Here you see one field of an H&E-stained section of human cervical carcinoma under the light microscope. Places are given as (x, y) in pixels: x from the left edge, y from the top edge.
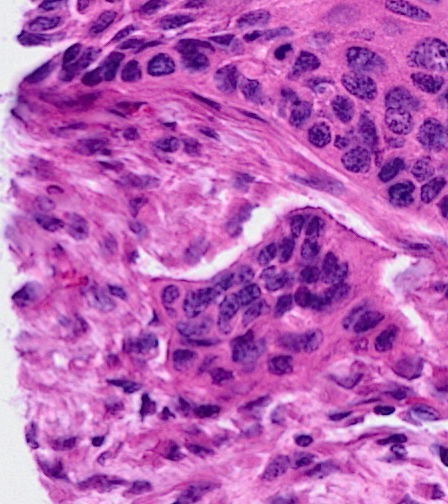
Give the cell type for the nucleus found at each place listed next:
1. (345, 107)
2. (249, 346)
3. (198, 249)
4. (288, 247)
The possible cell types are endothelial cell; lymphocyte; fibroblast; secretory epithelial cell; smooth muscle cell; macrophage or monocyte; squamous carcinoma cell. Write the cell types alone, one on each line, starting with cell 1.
squamous carcinoma cell
squamous carcinoma cell
fibroblast
squamous carcinoma cell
